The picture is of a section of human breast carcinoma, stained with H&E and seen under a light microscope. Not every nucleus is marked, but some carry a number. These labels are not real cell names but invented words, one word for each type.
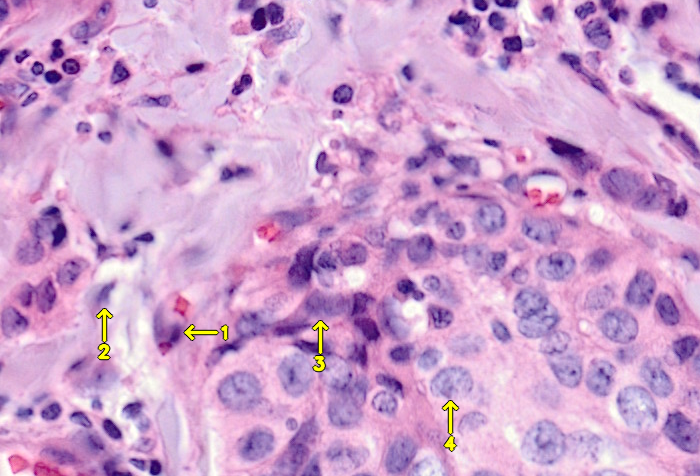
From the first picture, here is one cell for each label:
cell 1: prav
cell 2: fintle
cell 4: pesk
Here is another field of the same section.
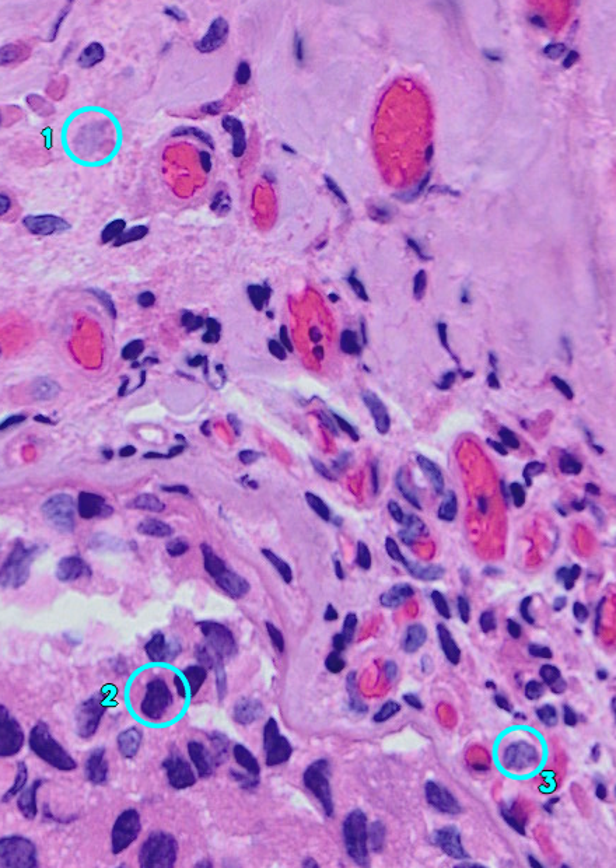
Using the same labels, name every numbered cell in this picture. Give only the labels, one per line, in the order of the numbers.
fintle
pesk
prav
